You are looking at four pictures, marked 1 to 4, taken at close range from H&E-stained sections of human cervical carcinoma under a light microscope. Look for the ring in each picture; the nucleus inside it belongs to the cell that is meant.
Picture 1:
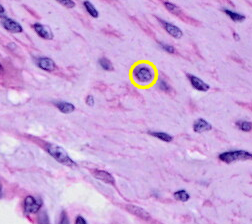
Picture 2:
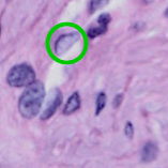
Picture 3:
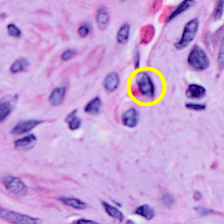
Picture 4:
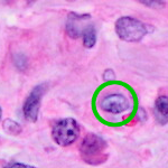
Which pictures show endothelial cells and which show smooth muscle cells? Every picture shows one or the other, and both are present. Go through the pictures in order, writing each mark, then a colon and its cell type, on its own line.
1: smooth muscle cell
2: endothelial cell
3: endothelial cell
4: endothelial cell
